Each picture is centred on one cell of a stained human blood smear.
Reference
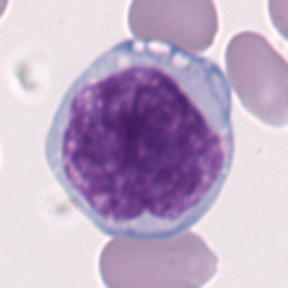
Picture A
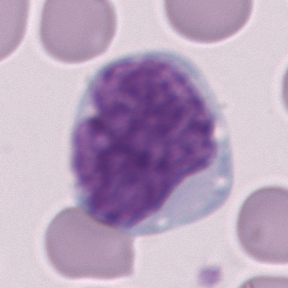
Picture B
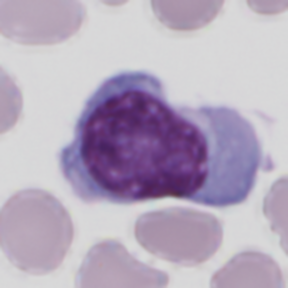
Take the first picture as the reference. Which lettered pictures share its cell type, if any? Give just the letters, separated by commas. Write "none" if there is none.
A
